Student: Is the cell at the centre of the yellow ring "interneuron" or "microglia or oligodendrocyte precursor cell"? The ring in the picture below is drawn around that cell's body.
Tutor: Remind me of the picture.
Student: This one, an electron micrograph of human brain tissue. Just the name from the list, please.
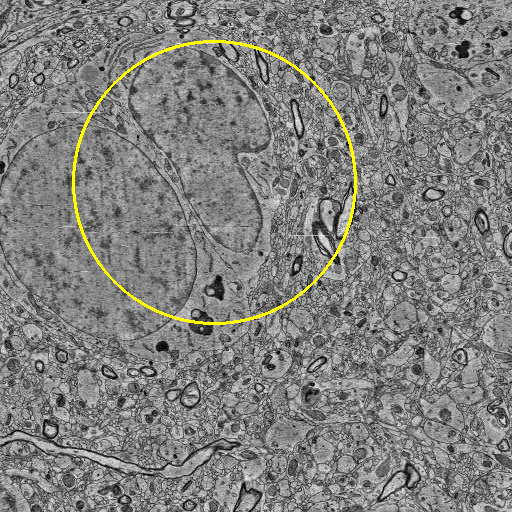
microglia or oligodendrocyte precursor cell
